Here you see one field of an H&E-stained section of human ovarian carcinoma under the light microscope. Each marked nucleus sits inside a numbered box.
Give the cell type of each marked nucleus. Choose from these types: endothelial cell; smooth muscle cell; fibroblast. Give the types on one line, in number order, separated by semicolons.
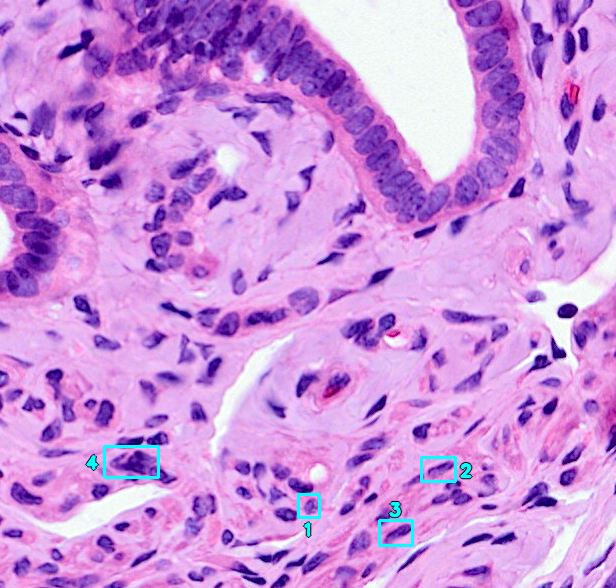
smooth muscle cell; smooth muscle cell; smooth muscle cell; endothelial cell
